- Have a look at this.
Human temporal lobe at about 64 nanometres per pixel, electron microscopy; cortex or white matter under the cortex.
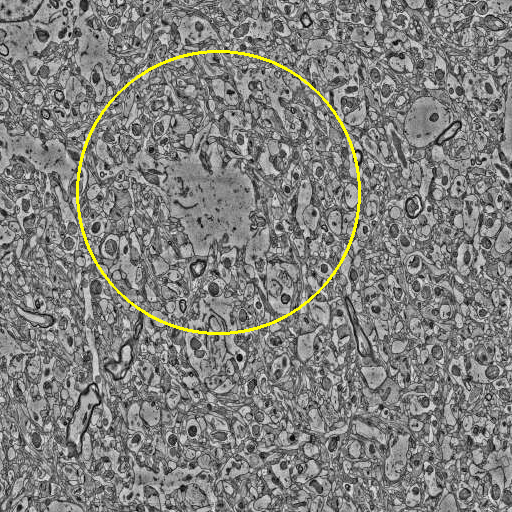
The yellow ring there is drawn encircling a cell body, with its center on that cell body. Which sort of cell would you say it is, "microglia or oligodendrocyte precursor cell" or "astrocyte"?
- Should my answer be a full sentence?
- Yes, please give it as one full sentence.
For this picture, an astrocyte is the cell where the yellow ring has its center.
